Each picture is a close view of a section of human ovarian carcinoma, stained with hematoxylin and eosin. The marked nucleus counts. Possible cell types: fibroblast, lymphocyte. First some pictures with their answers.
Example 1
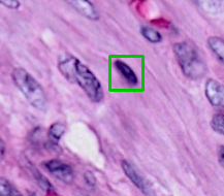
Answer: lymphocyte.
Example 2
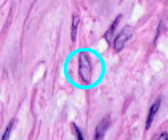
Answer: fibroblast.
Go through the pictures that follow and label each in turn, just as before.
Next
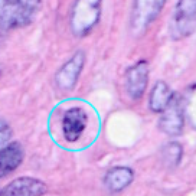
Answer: lymphocyte.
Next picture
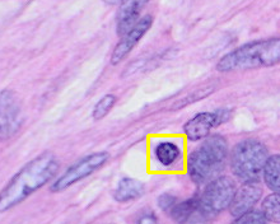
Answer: lymphocyte.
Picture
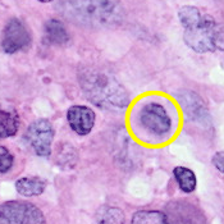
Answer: lymphocyte.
